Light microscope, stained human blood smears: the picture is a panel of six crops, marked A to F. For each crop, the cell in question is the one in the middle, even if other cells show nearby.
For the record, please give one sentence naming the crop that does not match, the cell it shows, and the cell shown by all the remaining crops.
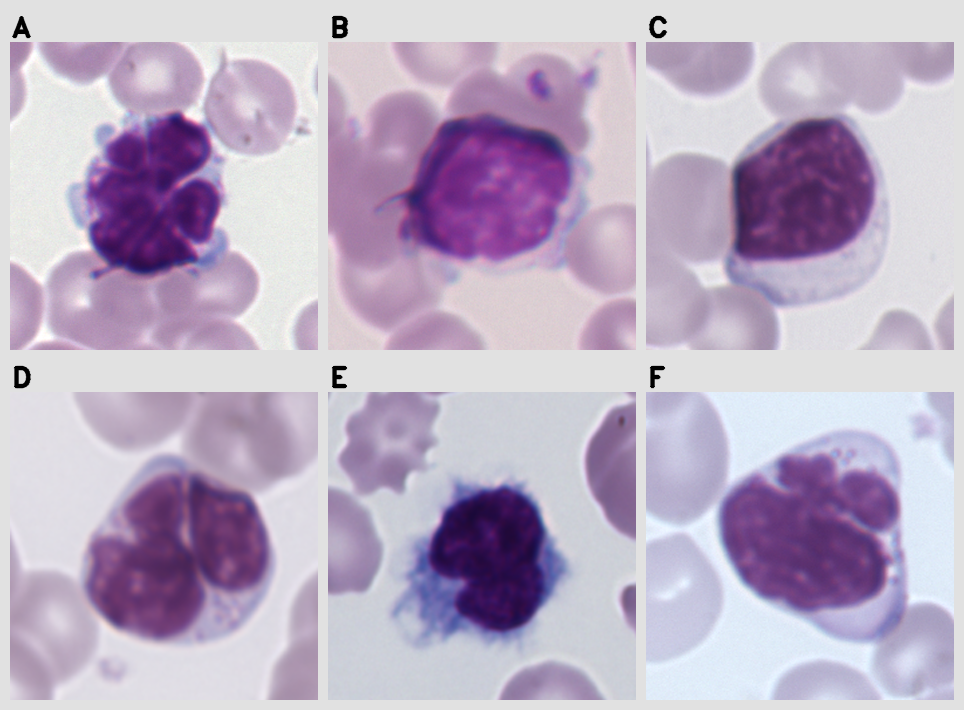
Apart from crop E, which shows a hairy cell, every crop shows large granular lymphocytes.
